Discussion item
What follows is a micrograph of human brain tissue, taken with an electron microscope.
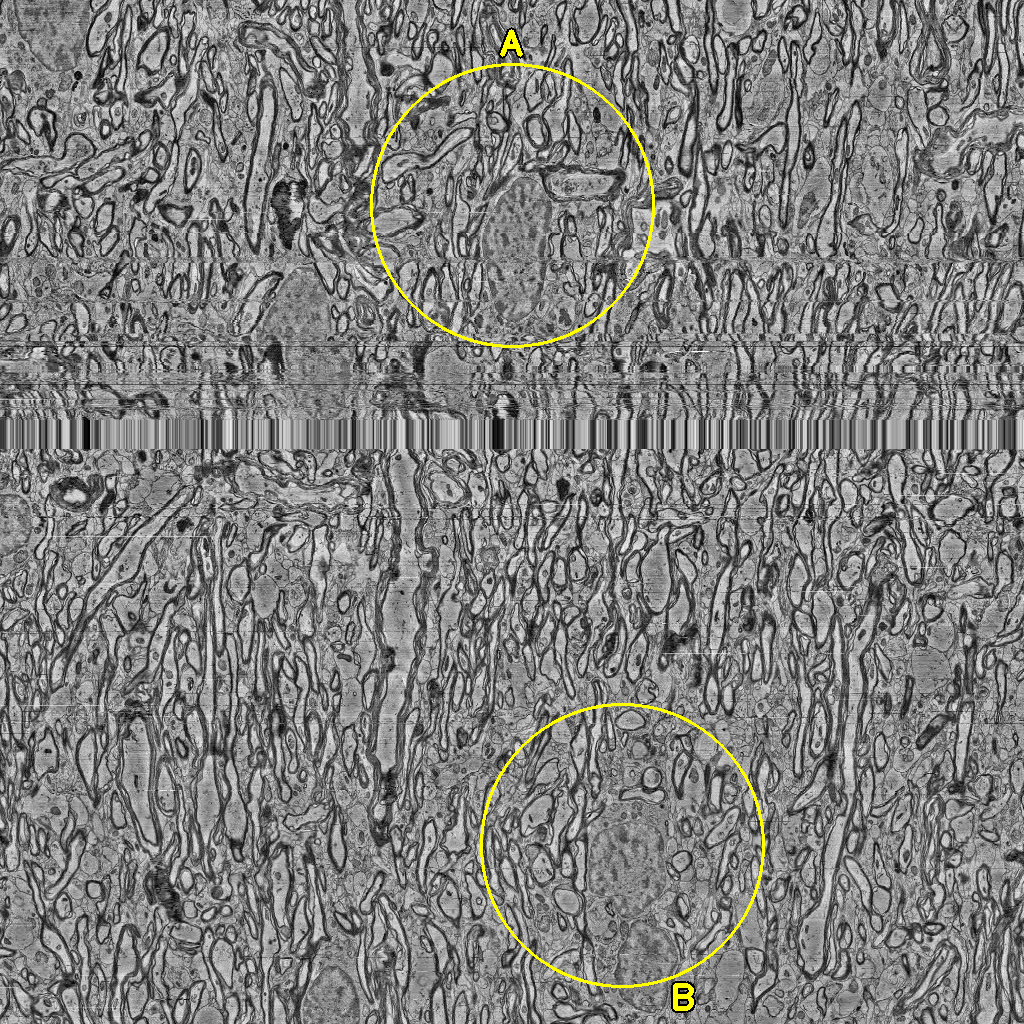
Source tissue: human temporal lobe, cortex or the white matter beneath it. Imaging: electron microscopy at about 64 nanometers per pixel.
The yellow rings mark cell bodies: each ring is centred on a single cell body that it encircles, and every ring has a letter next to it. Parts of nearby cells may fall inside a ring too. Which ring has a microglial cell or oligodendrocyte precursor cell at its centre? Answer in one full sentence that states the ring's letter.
Ring A is the ring whose centre falls on the cell the question asks about.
